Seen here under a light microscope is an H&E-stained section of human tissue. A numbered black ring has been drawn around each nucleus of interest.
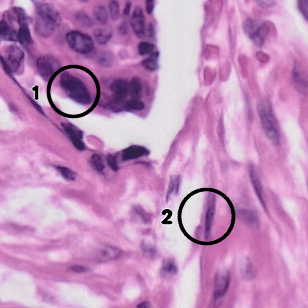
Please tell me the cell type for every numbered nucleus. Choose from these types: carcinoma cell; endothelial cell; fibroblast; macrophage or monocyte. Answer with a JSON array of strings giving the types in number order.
["carcinoma cell", "fibroblast"]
